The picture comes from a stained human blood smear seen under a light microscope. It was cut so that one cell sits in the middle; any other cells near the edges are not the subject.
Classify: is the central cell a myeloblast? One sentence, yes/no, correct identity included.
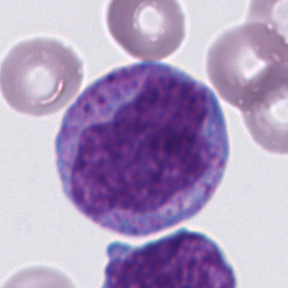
No, the central cell qualifies as an atypical promyelocyte rather than as a myeloblast.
